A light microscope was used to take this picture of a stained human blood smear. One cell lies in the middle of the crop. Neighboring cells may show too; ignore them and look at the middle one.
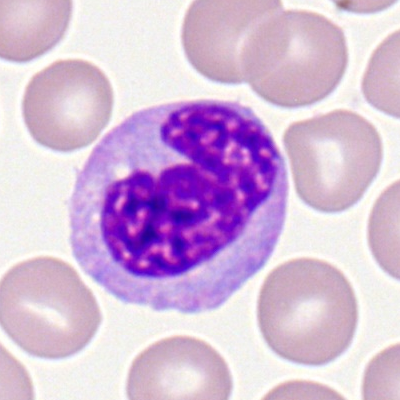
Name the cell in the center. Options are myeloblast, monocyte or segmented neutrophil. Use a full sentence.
The cell at the central position in this crop is a monocyte.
